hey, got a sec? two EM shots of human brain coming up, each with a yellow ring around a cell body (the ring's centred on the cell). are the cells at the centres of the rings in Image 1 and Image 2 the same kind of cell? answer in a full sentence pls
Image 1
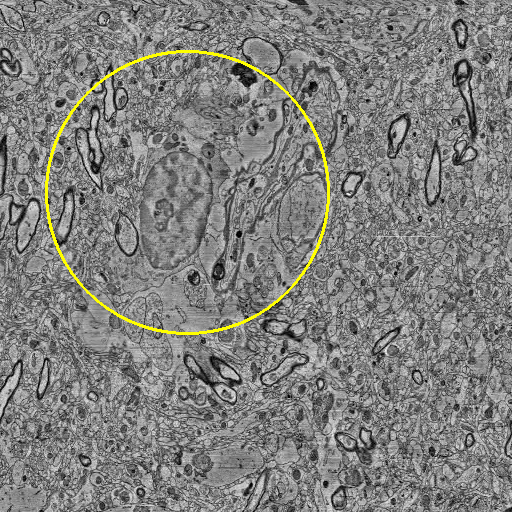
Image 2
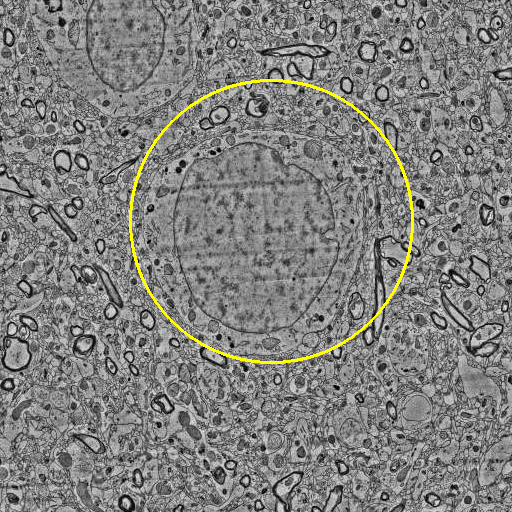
No, they are two kinds of cell.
